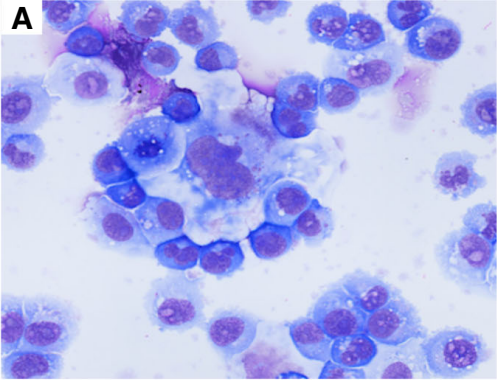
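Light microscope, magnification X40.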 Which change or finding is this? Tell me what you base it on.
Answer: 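A very large cell in the centre has a big, irregular purple nucleus with clumped chromatin. Surrounding cells have large round to oval nuclei filling much of the cell.
Conclusion: large nucleus with disorganized, coarse chromatin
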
